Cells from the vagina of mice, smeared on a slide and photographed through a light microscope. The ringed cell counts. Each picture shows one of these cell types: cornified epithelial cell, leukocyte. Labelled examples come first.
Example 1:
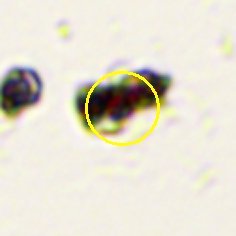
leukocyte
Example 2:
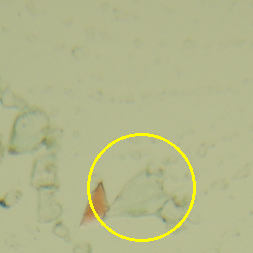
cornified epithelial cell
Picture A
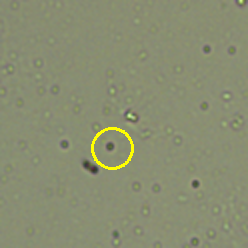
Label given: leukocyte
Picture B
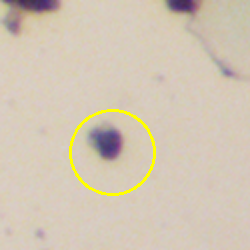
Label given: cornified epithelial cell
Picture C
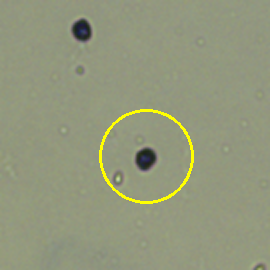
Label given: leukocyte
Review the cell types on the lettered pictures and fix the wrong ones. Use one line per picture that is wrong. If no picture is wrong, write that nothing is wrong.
B: not cornified epithelial cell but leukocyte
